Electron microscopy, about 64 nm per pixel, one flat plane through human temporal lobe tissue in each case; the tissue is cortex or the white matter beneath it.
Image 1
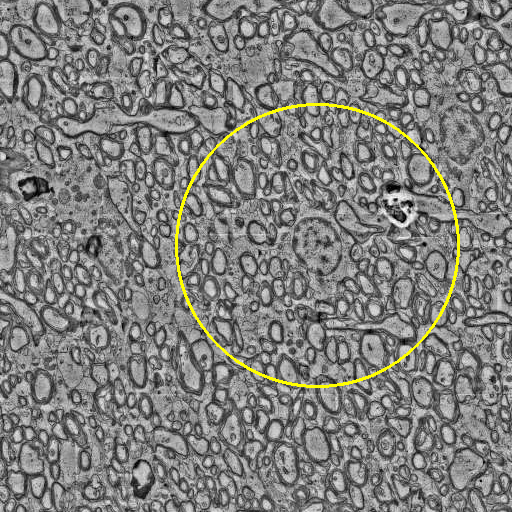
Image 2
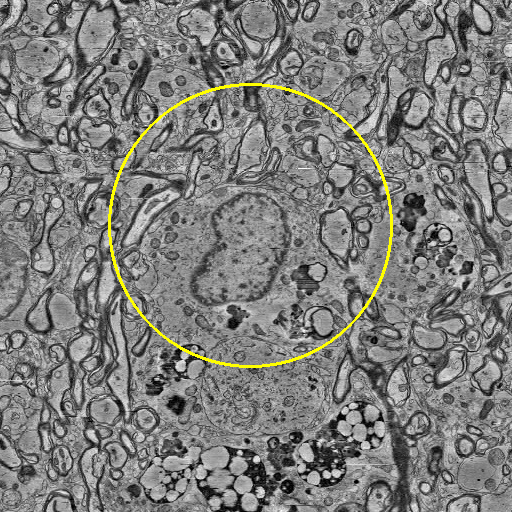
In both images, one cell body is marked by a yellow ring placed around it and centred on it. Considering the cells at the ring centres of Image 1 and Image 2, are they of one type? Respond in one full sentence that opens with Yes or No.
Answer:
No, two types apply to the ring-centred cells of Image 1 and Image 2.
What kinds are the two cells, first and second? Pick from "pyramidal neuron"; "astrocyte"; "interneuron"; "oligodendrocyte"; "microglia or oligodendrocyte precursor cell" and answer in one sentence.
The second picture holds an astrocyte in its ring, and the first holds a microglial cell or oligodendrocyte precursor cell.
